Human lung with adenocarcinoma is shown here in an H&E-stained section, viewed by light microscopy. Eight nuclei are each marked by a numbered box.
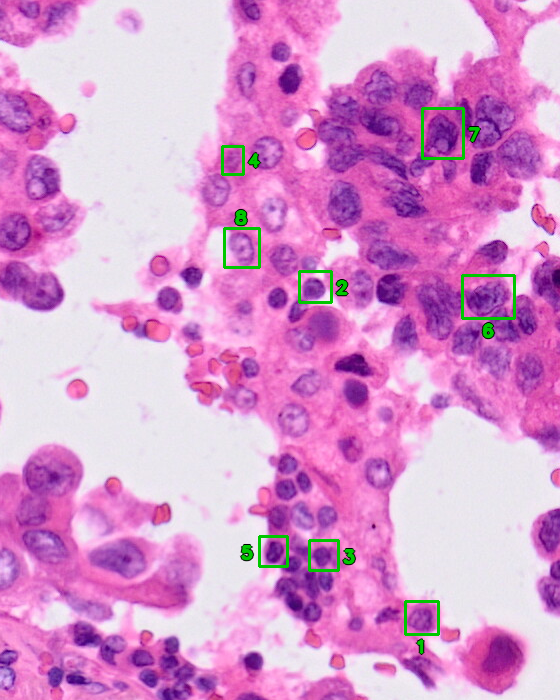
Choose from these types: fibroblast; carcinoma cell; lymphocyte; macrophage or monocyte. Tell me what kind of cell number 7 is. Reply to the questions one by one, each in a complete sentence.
In the marked set, the cell given number 7 is a carcinoma cell.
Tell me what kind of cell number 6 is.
Within this field of view, the cell labelled 6 is a carcinoma cell.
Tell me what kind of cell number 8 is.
The numbered cell 8 in this field is a macrophage or monocyte.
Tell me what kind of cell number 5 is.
The cell that goes by number 5 is a lymphocyte.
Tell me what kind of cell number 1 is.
Cell 1, as marked in the section, is a macrophage or monocyte.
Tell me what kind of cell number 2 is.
The correct label for cell 2 is a lymphocyte.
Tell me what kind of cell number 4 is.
The marked cell with the number 4 is recognised as a macrophage or monocyte.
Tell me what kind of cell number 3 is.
The expected answer is that cell 3 is a lymphocyte.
